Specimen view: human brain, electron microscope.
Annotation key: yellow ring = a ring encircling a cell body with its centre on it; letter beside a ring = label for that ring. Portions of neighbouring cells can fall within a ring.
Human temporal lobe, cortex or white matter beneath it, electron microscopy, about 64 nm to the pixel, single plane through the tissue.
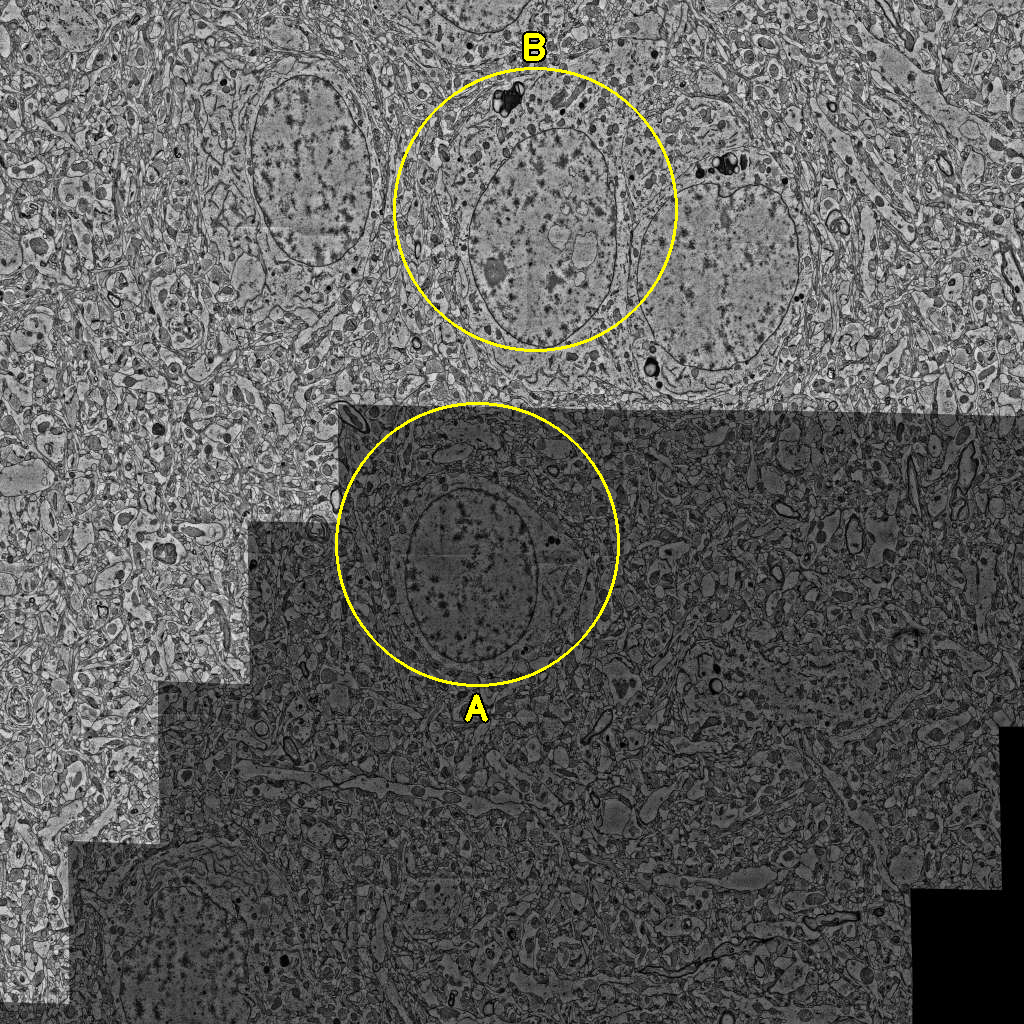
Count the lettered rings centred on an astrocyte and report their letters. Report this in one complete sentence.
The set of rings centred on an astrocyte is empty, so the count is zero.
